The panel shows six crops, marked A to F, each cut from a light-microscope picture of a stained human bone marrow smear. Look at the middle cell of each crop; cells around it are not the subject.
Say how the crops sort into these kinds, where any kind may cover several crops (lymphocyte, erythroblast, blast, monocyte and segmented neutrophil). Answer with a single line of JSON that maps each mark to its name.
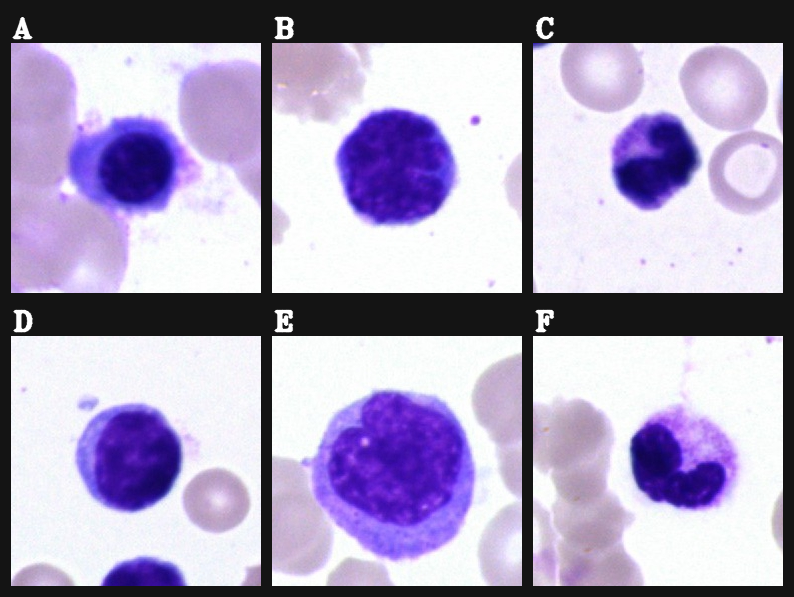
{"A": "erythroblast", "B": "lymphocyte", "C": "segmented neutrophil", "D": "lymphocyte", "E": "monocyte", "F": "segmented neutrophil"}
